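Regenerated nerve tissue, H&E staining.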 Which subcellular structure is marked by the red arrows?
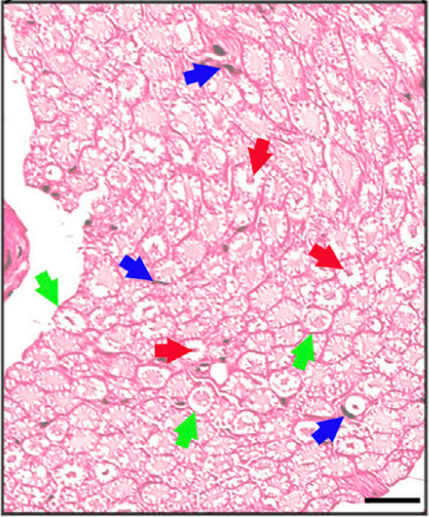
axon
